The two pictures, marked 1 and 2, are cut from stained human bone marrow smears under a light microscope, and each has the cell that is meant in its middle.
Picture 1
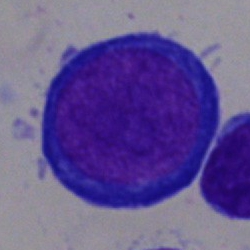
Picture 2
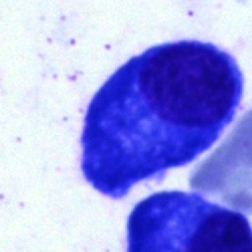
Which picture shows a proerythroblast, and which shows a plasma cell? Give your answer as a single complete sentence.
Picture 1 shows a proerythroblast and picture 2 shows a plasma cell.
